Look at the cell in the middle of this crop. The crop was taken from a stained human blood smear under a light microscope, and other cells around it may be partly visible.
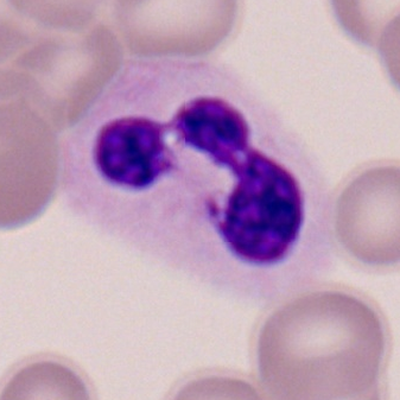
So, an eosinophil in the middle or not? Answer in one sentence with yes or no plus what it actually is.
No, the cell in the centre is a segmented neutrophil instead of an eosinophil.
